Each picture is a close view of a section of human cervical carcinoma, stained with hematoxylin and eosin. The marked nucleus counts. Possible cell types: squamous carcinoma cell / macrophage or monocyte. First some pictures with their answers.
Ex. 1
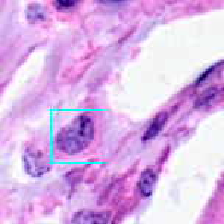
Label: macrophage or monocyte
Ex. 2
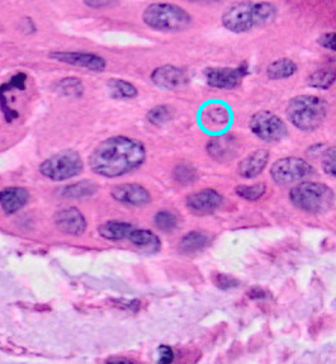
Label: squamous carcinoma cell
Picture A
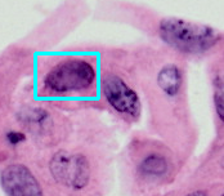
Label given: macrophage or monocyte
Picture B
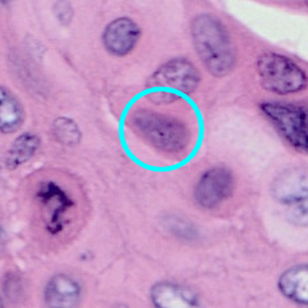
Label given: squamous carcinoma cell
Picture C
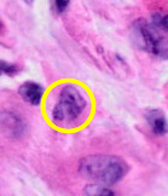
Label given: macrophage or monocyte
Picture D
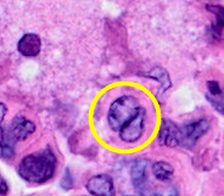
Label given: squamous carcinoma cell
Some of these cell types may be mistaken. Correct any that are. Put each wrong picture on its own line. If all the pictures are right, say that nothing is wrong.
A: change macrophage or monocyte to squamous carcinoma cell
